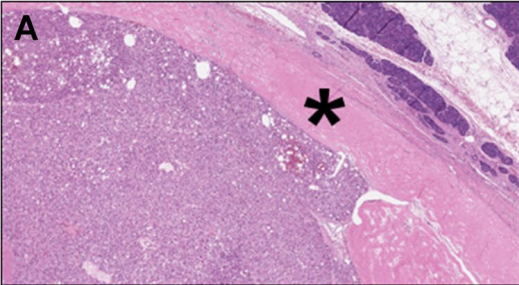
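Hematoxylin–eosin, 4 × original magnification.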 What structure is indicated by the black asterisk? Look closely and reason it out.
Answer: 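The asterisk lies on a broad band of pink, dense fibrous tissue. The band separates a cellular purple mass on the left from darker lobulated tissue on the right.
Tumor capsule.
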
